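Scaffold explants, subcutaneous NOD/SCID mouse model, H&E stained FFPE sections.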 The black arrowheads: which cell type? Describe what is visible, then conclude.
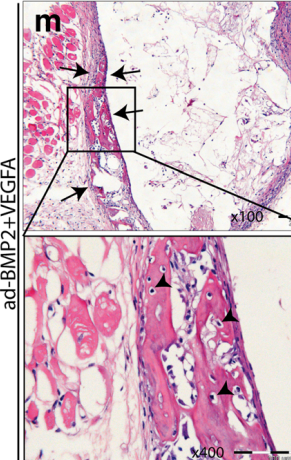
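The arrowheads point to small nuclei sitting in clear spaces within pink matrix. The cells are enclosed singly within the matrix rather than lining its surface. So: osteocyte-like cells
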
